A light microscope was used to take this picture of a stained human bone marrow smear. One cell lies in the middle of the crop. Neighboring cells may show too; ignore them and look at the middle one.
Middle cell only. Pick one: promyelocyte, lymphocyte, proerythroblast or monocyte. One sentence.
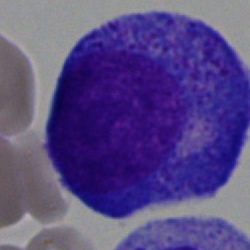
This crop's central cell is a promyelocyte.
